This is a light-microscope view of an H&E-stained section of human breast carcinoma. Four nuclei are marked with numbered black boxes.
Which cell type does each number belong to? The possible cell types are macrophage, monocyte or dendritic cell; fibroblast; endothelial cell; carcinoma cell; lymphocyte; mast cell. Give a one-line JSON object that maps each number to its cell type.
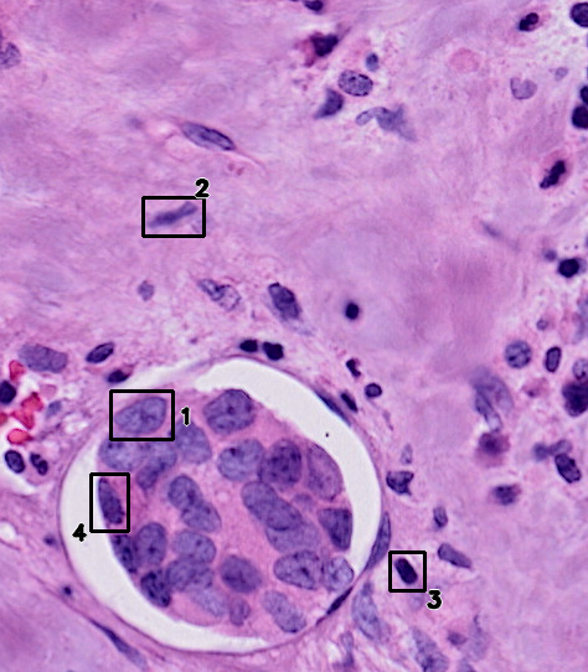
{"1": "carcinoma cell", "2": "fibroblast", "3": "lymphocyte", "4": "carcinoma cell"}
